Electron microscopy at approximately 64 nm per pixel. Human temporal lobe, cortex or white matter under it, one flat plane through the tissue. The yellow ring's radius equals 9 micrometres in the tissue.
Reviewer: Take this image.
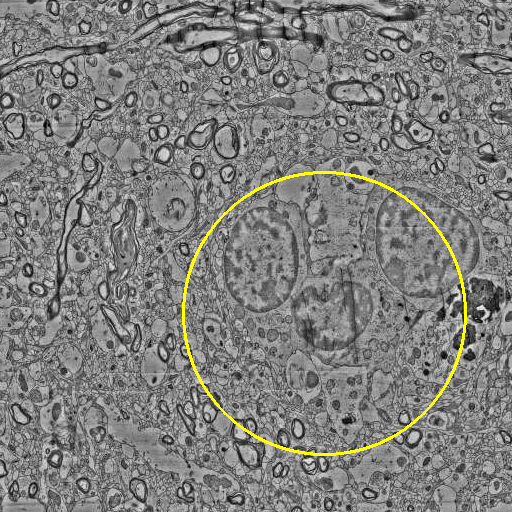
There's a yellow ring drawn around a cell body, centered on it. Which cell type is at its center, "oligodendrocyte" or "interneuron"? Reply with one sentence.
At the center of the yellow ring is an oligodendrocyte.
